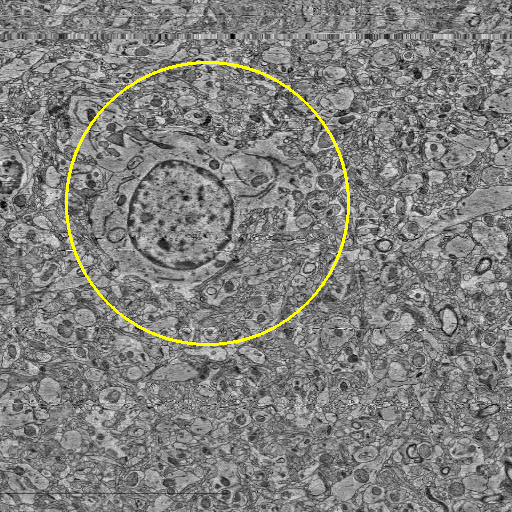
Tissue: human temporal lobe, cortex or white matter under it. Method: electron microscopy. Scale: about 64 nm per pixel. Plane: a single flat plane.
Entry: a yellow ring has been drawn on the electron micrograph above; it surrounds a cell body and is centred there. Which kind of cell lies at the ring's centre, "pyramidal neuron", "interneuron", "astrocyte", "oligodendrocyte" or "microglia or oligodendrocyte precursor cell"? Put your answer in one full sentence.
The cell sitting at the ring's centre is an astrocyte in the micrograph above.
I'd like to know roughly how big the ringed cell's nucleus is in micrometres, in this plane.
About 7 micrometres across in this plane, for the nucleus.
